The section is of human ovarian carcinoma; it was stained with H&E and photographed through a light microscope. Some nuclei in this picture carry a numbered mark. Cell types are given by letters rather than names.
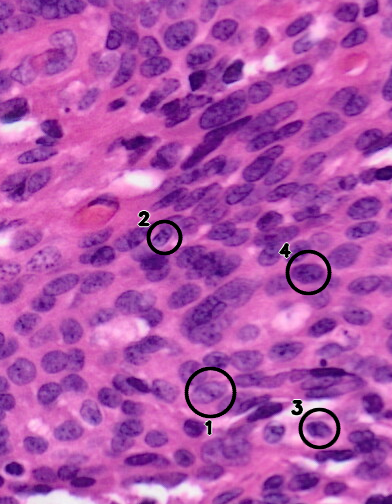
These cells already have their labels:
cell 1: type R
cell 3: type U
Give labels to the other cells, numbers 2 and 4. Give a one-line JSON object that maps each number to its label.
{"2": "type U", "4": "type R"}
